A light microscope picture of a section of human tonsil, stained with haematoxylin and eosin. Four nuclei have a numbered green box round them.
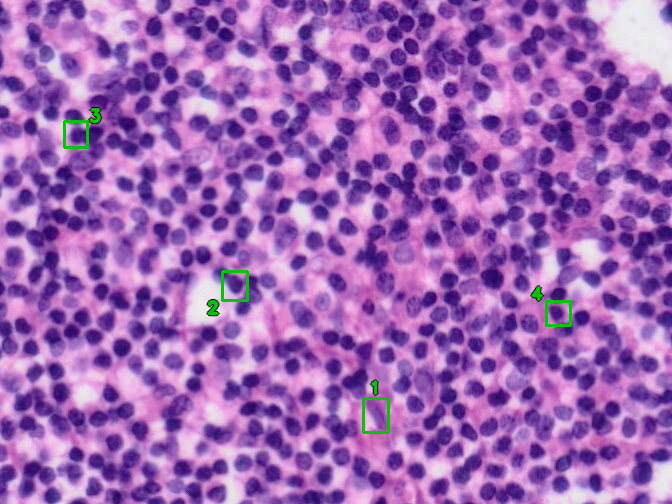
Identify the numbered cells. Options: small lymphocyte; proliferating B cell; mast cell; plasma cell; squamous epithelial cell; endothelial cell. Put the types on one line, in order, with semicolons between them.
endothelial cell; small lymphocyte; small lymphocyte; small lymphocyte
